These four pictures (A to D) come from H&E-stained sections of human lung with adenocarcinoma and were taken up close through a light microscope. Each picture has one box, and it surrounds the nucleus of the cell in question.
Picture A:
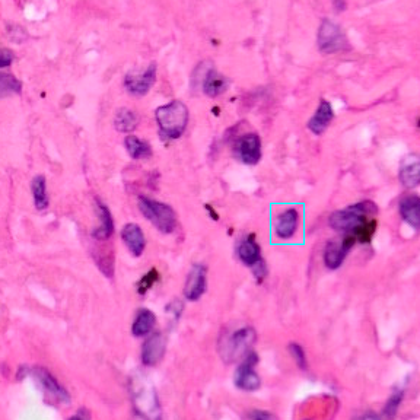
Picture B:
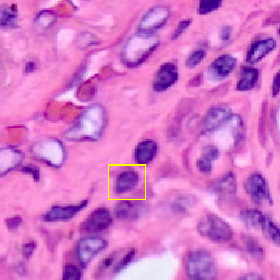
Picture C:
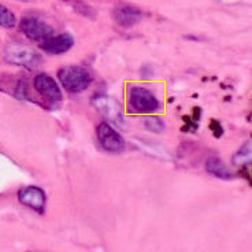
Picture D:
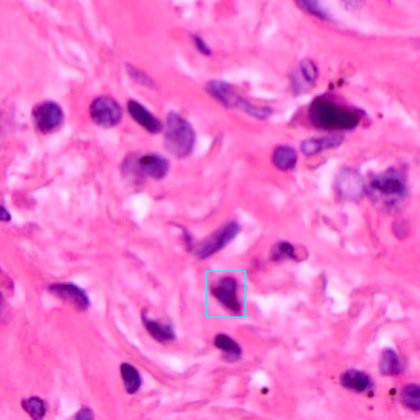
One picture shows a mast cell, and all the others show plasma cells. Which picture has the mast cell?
A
